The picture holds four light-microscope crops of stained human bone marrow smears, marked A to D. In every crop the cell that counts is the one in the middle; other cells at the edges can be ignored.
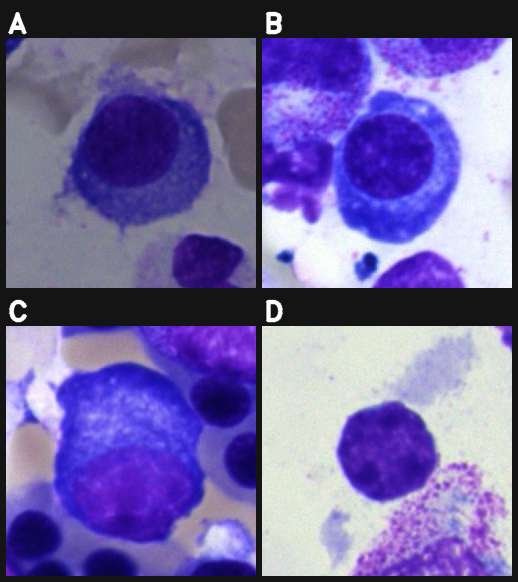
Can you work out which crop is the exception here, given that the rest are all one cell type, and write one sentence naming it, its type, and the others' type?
Crop D is the one to flag: it is a lymphocyte, and the rest show plasma cells.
